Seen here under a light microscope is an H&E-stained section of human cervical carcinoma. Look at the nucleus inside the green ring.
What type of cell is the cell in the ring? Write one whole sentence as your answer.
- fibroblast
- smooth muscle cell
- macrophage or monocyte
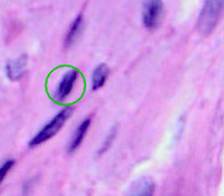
In the tissue under study, the cell in the ring is a fibroblast.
